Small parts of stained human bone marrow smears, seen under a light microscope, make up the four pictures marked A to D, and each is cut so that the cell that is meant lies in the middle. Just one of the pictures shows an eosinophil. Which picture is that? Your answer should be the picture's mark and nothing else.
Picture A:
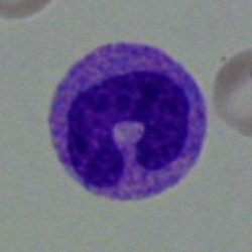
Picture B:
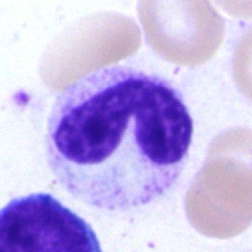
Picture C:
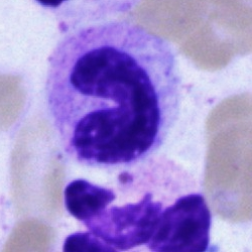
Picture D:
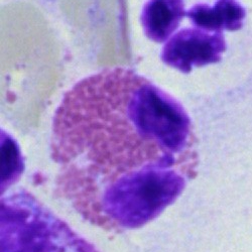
D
